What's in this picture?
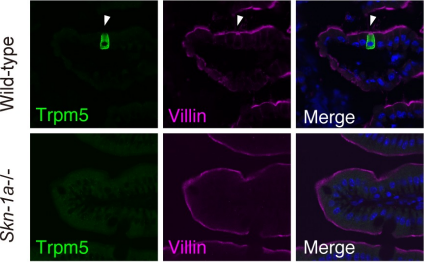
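This is small intestinal mucosa with villi covered by a single layer of columnar epithelial cells whose blue nuclei form a row near the base of the epithelium. A bright magenta line marks the luminal brush border along the whole epithelial surface. In the lower row the villus epithelium looks similar, with its magenta surface line and blue nuclei, but no green cell is seen anywhere in it.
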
